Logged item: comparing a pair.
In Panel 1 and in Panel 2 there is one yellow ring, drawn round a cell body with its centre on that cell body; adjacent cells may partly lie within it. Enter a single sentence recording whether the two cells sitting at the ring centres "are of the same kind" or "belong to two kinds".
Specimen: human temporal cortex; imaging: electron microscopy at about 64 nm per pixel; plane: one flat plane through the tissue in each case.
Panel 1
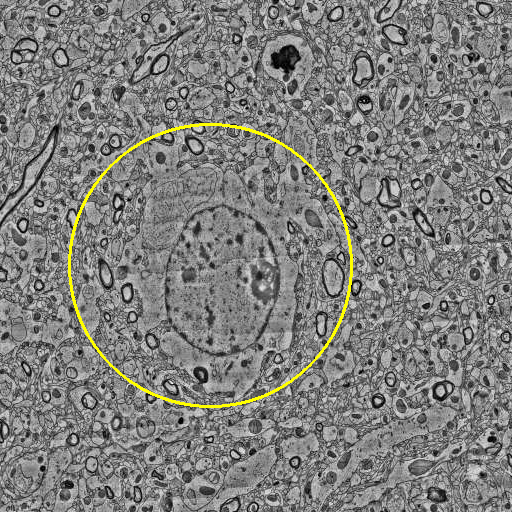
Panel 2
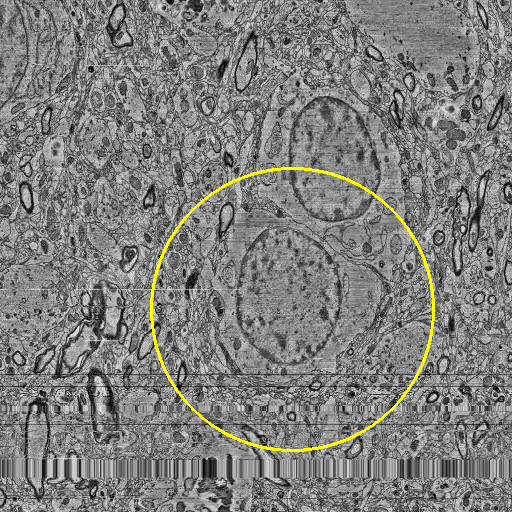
Logged: the cells centred in the rings of Panel 1 and Panel 2 are of the same kind.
